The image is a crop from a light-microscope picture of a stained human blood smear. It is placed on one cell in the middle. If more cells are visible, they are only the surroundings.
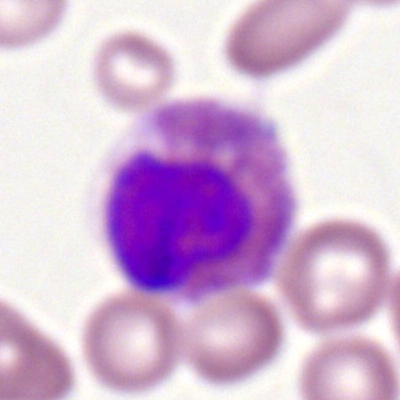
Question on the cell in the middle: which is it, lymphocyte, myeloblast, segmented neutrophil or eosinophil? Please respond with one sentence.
Occupying the centre of the crop is an eosinophil.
